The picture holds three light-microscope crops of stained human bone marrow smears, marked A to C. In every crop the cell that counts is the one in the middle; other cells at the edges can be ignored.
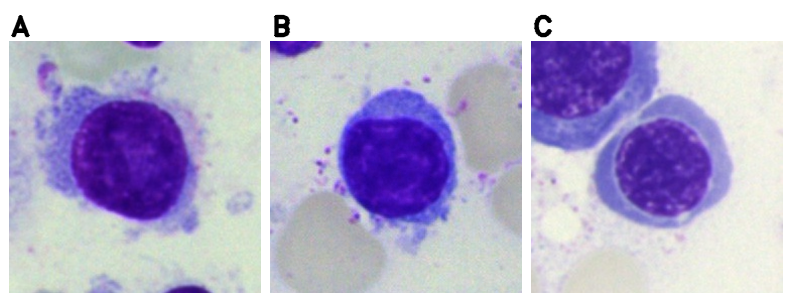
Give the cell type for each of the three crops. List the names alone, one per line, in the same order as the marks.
hairy cell
lymphocyte
erythroblast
